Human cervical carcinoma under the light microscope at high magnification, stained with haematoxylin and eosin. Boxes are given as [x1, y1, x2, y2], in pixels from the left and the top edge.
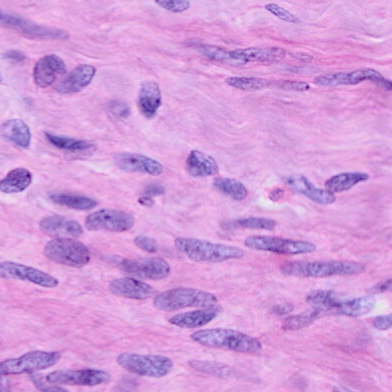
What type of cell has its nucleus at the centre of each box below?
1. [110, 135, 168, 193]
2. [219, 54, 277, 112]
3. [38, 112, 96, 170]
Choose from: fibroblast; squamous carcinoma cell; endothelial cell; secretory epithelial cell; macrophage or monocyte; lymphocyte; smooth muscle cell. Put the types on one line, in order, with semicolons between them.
fibroblast; smooth muscle cell; fibroblast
